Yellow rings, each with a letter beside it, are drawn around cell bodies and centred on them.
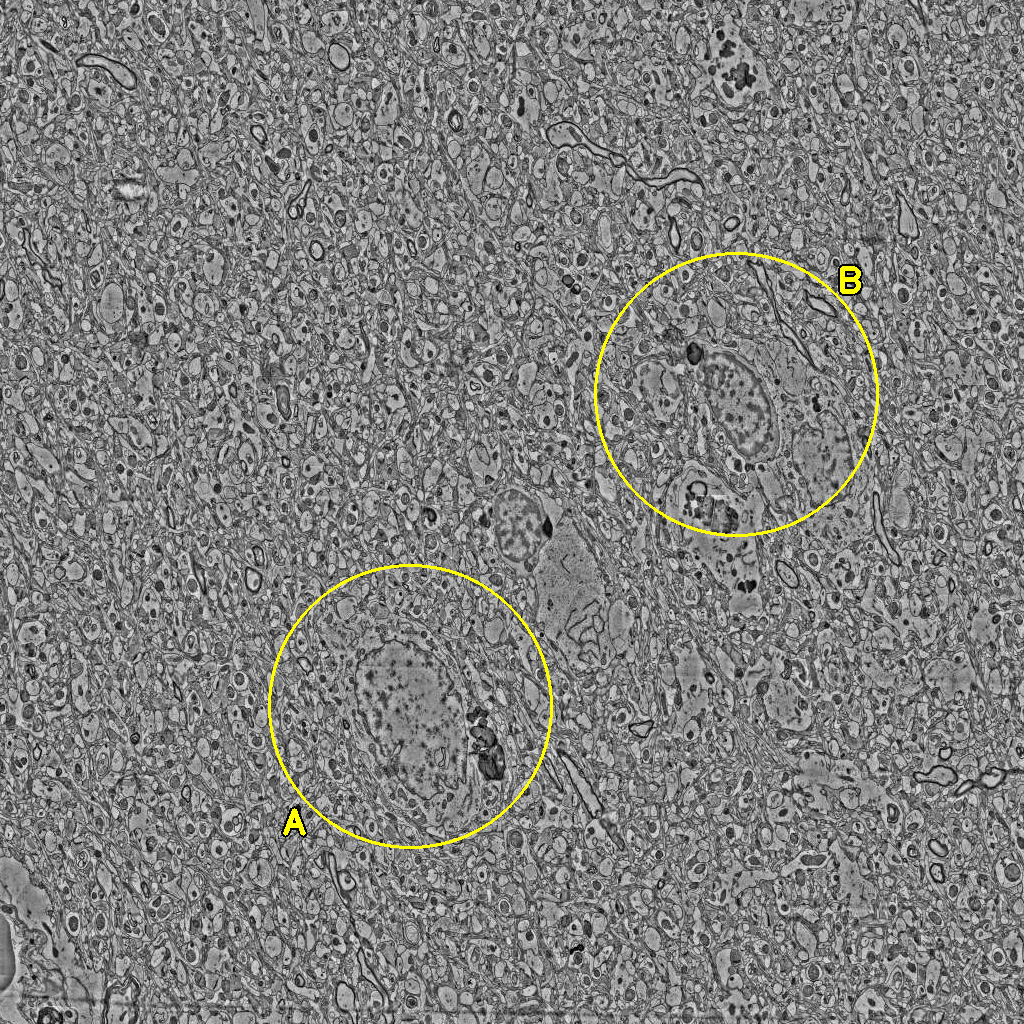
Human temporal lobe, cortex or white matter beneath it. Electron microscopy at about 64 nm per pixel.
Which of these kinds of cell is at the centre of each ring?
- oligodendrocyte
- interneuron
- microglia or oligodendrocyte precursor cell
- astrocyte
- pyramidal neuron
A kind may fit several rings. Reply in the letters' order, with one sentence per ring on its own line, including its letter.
The cell in the middle of ring A is an interneuron.
The cell in the middle of ring B is an oligodendrocyte.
